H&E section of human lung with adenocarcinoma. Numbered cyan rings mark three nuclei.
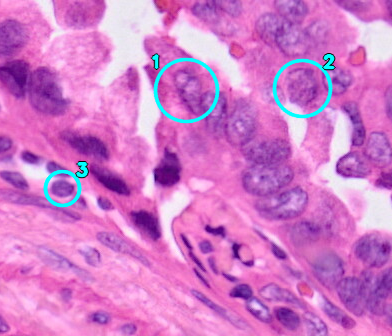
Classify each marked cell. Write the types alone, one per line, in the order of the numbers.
carcinoma cell
carcinoma cell
lymphocyte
